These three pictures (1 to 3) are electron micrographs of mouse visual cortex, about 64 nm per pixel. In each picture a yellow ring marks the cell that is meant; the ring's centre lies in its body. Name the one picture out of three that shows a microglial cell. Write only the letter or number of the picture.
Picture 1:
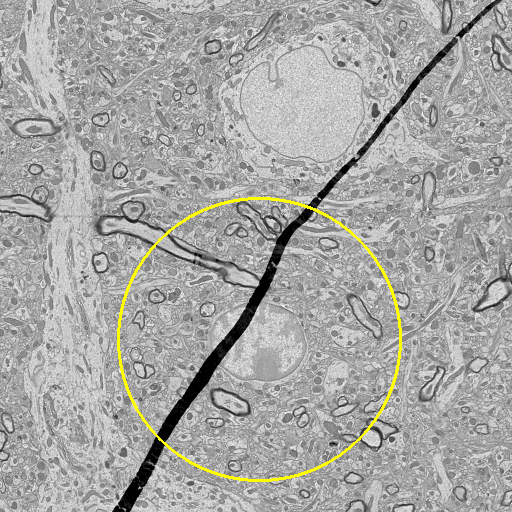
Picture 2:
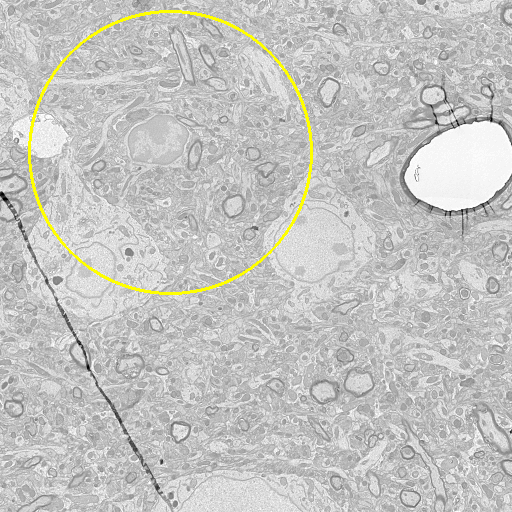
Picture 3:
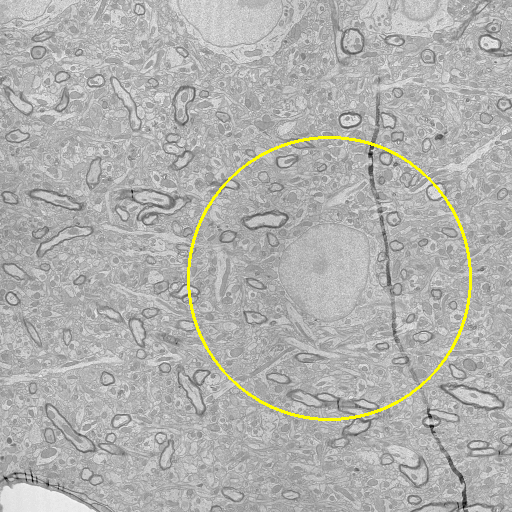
2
